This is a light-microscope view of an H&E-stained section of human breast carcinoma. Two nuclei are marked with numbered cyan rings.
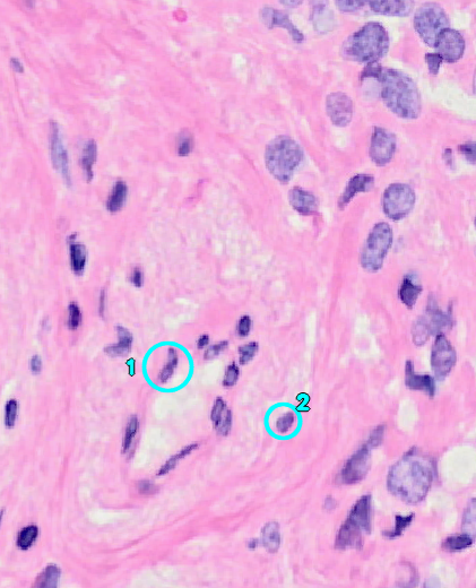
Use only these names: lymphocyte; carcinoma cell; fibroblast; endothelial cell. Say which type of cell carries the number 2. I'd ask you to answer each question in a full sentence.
In the tissue shown, cell 2 is a lymphocyte.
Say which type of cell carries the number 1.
The cell marked with number 1 is an endothelial cell.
